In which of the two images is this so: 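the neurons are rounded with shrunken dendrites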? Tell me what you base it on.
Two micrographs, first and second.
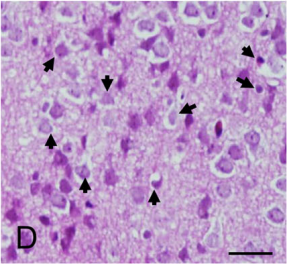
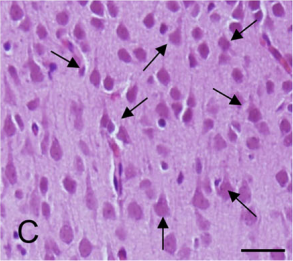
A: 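The first image. First image: cell bodies are round, without long processes, often in clear halos. Second image: cell bodies are triangular with a thick apical process.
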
